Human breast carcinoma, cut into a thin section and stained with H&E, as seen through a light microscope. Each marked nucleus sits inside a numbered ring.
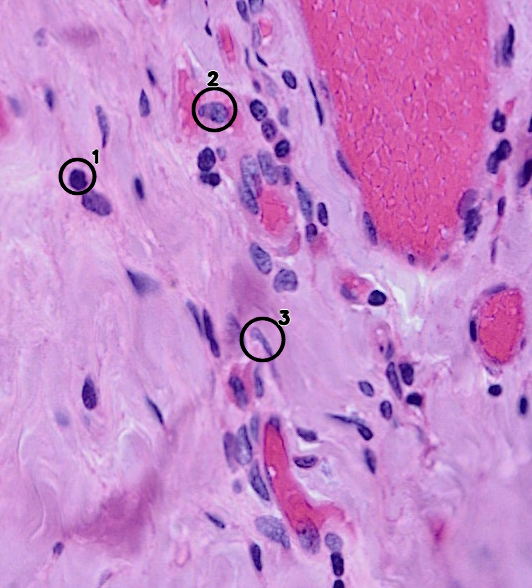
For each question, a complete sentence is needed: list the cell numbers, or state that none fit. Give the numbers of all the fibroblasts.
Only cell 3 should be marked as a fibroblast.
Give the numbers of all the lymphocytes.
Cell 1 is a lymphocyte; every other numbered cell is something else.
